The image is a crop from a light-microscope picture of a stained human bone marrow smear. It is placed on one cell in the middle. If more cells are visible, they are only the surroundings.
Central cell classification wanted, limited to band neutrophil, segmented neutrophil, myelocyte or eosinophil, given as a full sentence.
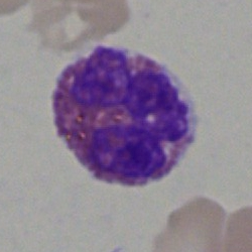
What sits at the centre of this crop is an eosinophil.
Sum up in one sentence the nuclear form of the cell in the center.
Kindly observe that the nucleus forms two or more lobes.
